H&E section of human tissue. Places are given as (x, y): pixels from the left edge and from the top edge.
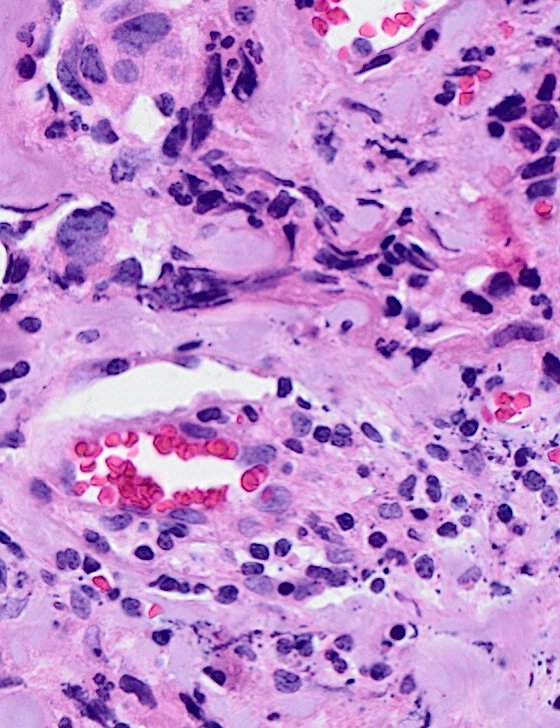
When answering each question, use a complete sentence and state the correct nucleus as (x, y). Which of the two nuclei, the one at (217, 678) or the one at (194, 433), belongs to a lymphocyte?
Of the two options, the nucleus at (217, 678) is the one that belongs to a lymphocyte.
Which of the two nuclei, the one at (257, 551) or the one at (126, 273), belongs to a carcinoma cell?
Out of the two, it is the nucleus at (126, 273) that belongs to a carcinoma cell.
